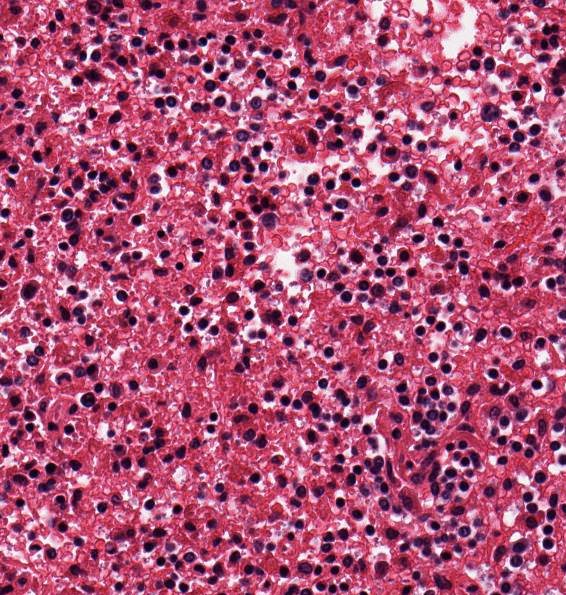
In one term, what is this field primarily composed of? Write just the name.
red pulp of the spleen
